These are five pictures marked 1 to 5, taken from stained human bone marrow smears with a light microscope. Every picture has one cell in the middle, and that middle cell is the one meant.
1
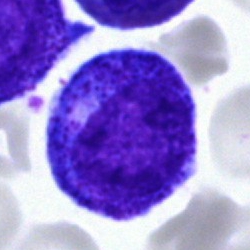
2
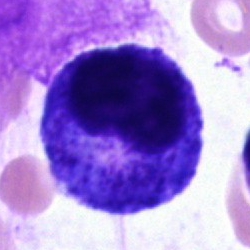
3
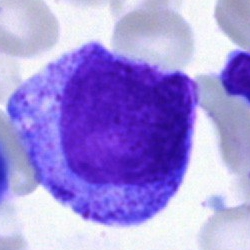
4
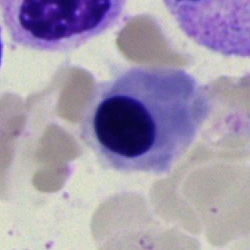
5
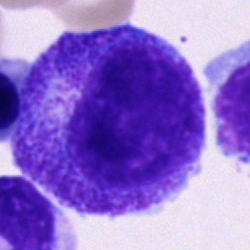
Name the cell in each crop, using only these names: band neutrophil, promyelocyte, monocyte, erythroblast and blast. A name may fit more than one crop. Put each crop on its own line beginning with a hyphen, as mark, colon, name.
- 1: promyelocyte
- 2: promyelocyte
- 3: promyelocyte
- 4: erythroblast
- 5: promyelocyte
